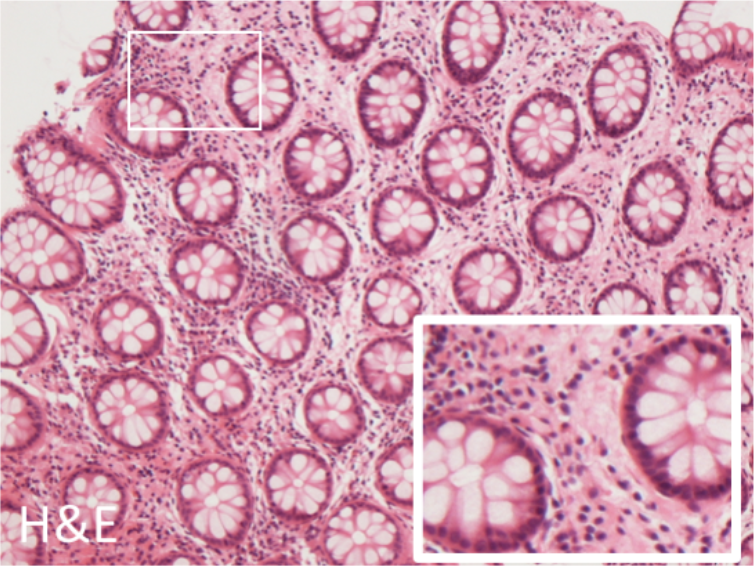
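This is colonic mucosa cut across, with many round crypts spaced evenly through a cellular pink stroma. Each crypt is lined by a single layer of columnar cells with dark basal nuclei, and their pale rounded goblet cells give the crypts a rosette look. Between the crypts the lamina propria holds many small dark round nuclei of scattered inflammatory cells. The surface edge at the upper left is ragged.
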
